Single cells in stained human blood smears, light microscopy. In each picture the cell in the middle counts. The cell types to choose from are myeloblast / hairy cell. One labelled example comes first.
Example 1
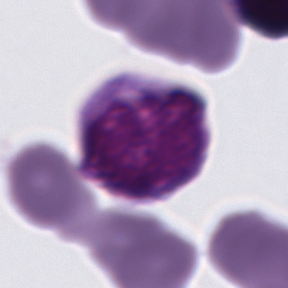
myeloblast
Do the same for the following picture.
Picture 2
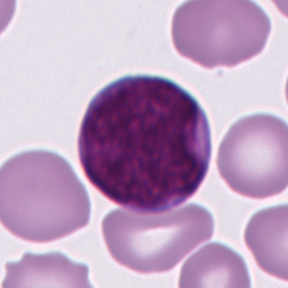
myeloblast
